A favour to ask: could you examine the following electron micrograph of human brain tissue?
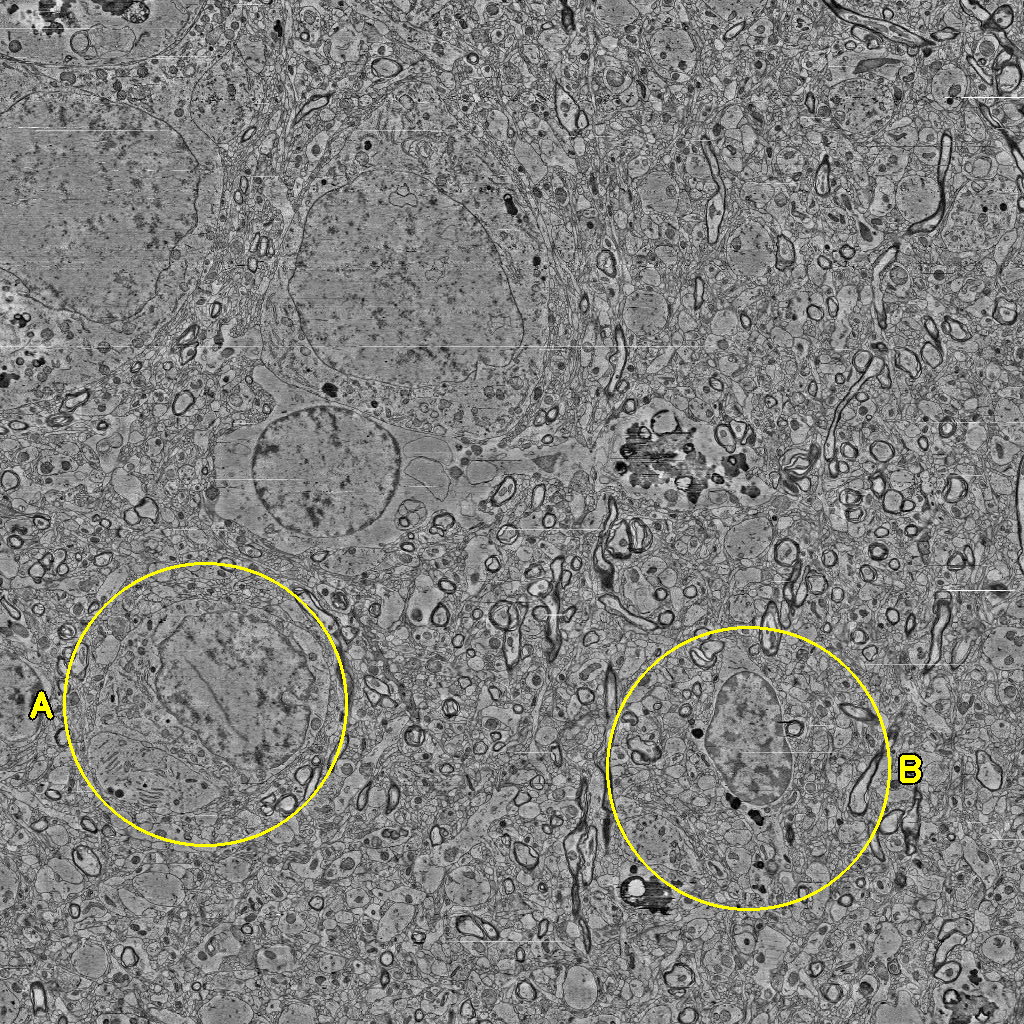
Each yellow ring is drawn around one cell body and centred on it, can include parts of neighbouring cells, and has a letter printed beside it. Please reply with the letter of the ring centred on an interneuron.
A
